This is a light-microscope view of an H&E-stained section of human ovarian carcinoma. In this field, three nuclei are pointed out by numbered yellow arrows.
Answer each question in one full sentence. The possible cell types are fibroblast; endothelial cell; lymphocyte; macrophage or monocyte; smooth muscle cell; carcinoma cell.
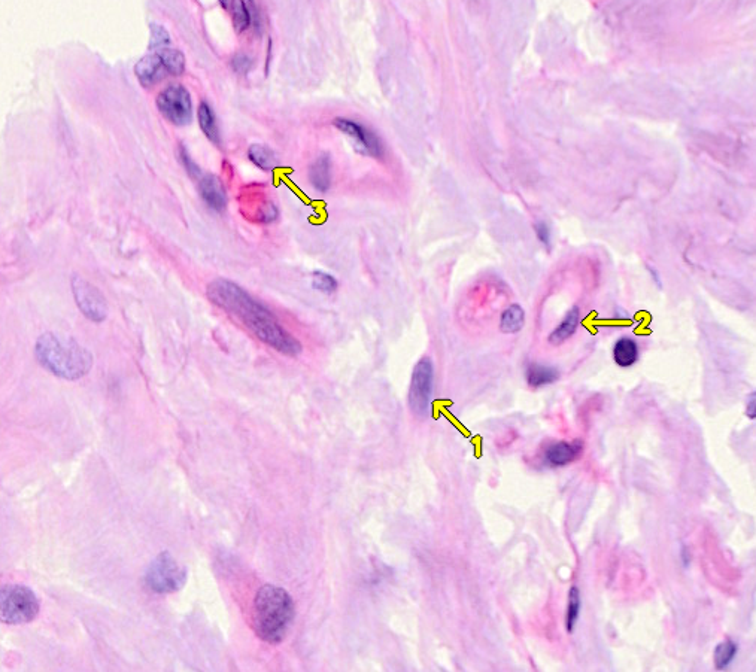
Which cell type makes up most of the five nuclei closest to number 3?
Most of the five nuclei nearest to number 3 are those of endothelial cells.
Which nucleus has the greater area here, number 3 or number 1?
It is nucleus 1, which covers about 2 times the area of nucleus 3.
